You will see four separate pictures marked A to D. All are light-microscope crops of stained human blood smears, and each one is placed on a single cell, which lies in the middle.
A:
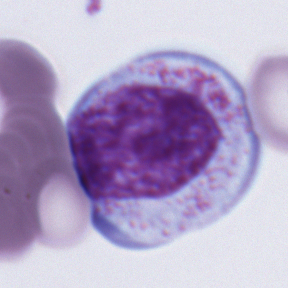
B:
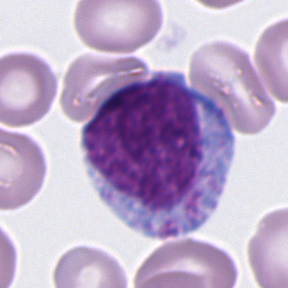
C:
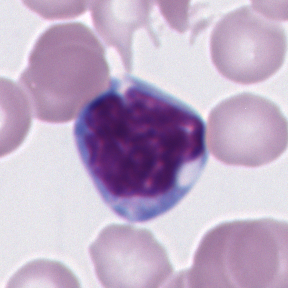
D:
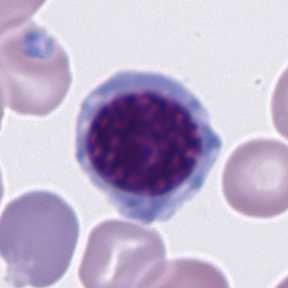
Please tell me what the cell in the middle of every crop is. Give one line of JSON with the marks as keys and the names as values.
{"A": "myelocyte", "B": "myelocyte", "C": "typical lymphocyte", "D": "normoblast"}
